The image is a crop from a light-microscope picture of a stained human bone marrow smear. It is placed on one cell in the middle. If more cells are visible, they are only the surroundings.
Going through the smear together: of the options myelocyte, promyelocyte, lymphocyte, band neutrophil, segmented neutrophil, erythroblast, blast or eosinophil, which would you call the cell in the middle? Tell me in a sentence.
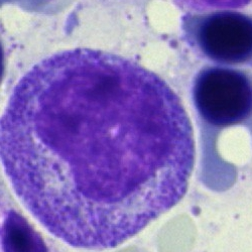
At the middle of the frame sits a myelocyte.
